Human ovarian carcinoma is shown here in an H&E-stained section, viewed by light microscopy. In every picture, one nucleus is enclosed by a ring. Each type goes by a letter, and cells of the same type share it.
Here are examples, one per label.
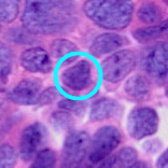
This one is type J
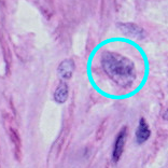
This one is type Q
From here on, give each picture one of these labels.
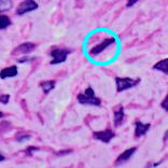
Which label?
type Q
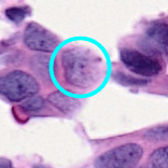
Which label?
type J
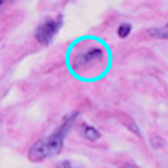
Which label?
type Q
